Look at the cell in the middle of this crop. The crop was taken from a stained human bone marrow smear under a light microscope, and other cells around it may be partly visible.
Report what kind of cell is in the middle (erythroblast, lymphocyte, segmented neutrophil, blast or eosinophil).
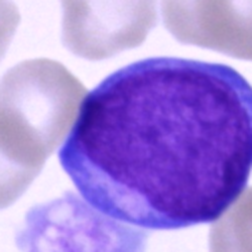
blast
